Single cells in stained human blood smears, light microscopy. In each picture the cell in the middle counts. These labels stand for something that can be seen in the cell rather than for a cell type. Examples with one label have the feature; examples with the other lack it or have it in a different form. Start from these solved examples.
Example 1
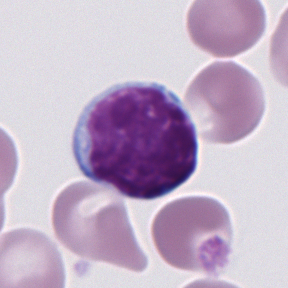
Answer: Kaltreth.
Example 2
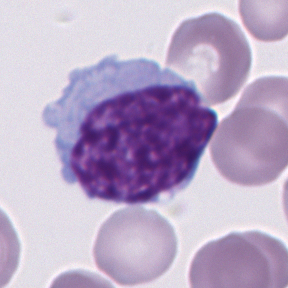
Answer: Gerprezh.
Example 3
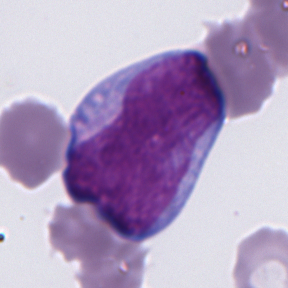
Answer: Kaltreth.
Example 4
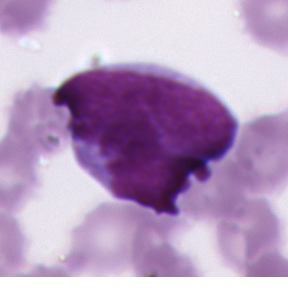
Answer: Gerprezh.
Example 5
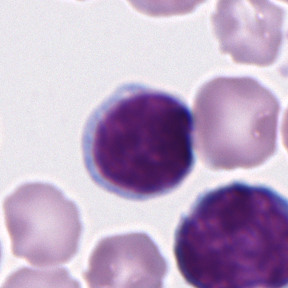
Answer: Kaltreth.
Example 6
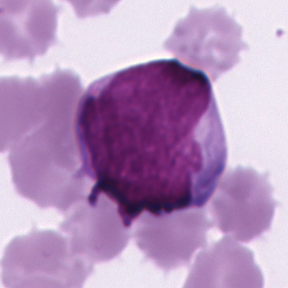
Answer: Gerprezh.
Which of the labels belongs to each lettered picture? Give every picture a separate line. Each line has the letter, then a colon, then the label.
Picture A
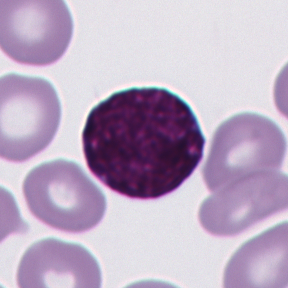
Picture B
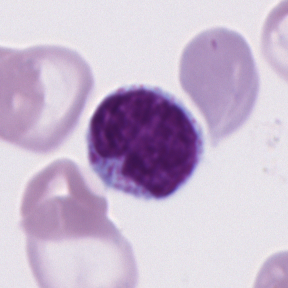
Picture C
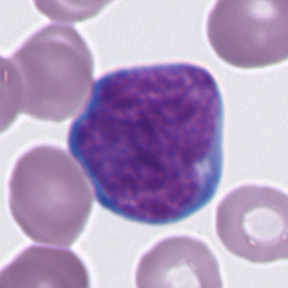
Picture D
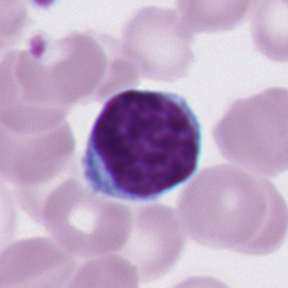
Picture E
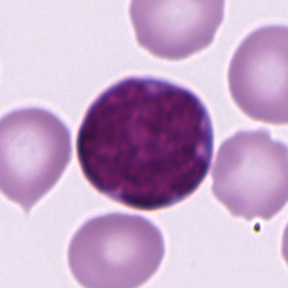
A: Kaltreth.
B: Kaltreth.
C: Kaltreth.
D: Kaltreth.
E: Kaltreth.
